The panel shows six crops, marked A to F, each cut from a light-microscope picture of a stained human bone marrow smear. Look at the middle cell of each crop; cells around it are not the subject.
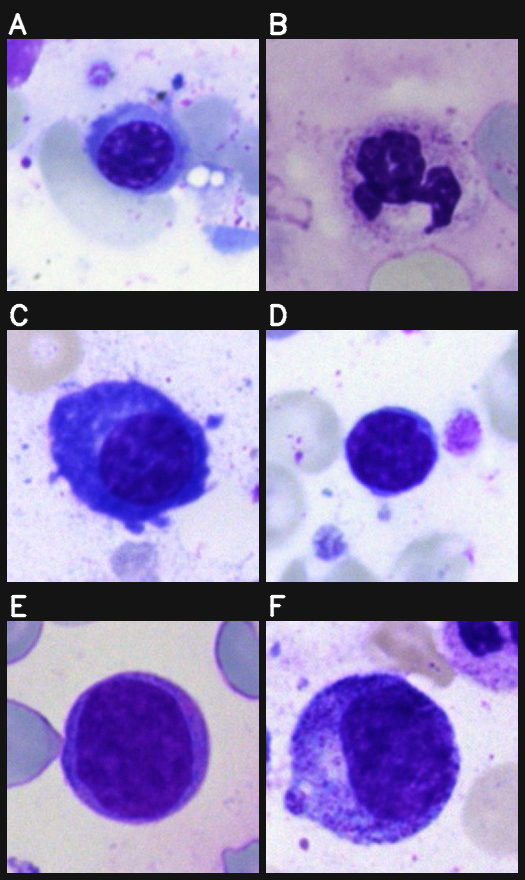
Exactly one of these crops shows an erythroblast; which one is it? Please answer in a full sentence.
It is crop A, not any other, that shows an erythroblast.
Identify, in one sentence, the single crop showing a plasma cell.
Identified crop: C, the one that shows a plasma cell.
